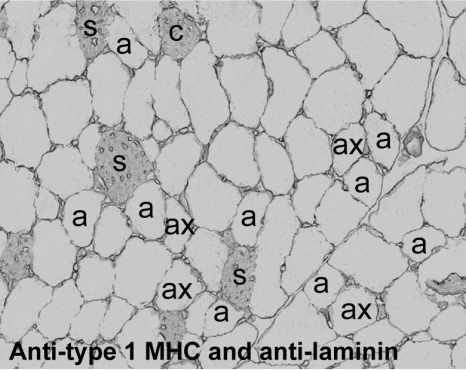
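A cross-section of muscle shows many myofibers cut transversely as polygonal profiles of varying size, tightly packed together. Each fibre is outlined by a thin dark border, and a scattered few fibres are filled with grey stain while the rest remain pale.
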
